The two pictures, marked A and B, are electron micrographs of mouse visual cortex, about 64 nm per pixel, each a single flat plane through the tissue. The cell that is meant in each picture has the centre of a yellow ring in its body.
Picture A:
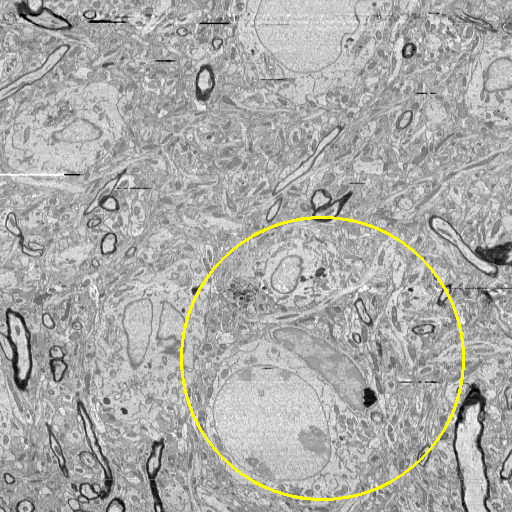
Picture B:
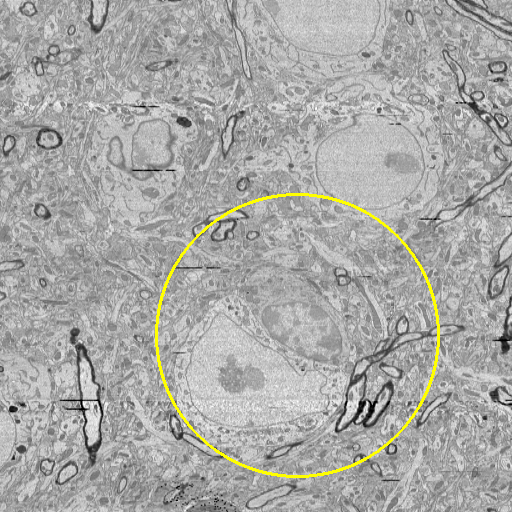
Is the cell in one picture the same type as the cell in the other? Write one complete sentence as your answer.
No. Picture A shows a microglial cell, but picture B shows an oligodendrocyte.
